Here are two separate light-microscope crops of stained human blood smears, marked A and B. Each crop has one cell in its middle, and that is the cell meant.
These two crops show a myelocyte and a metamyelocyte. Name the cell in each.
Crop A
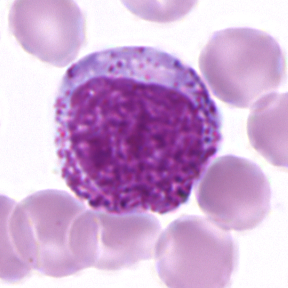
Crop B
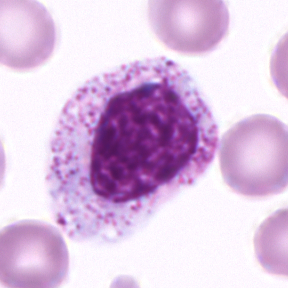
A: myelocyte
B: metamyelocyte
